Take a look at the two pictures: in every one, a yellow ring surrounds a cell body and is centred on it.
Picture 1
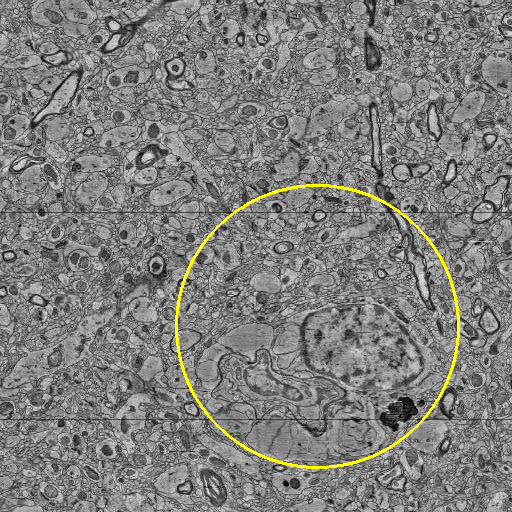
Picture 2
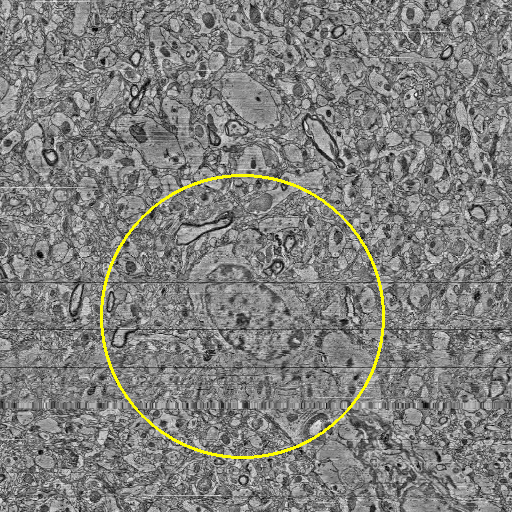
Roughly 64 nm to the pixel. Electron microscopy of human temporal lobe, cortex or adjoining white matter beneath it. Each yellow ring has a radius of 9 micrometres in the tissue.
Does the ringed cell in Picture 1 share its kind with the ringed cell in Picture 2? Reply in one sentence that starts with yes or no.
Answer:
Yes, the two centred cells, one per picture, are of one kind.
